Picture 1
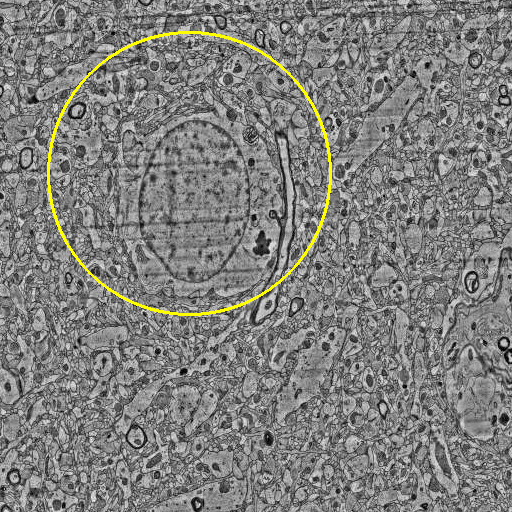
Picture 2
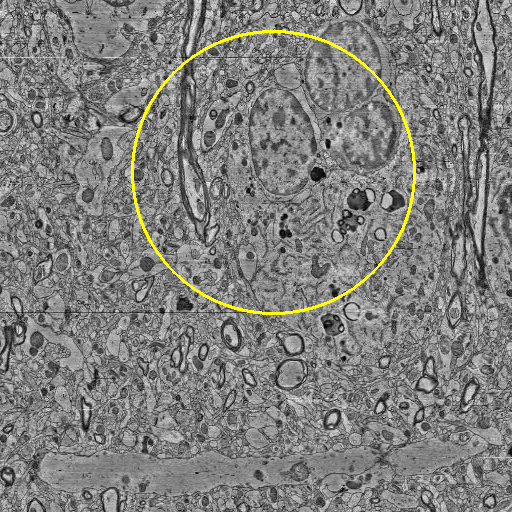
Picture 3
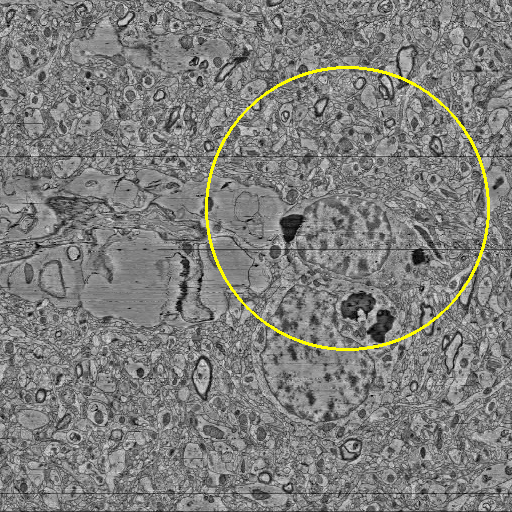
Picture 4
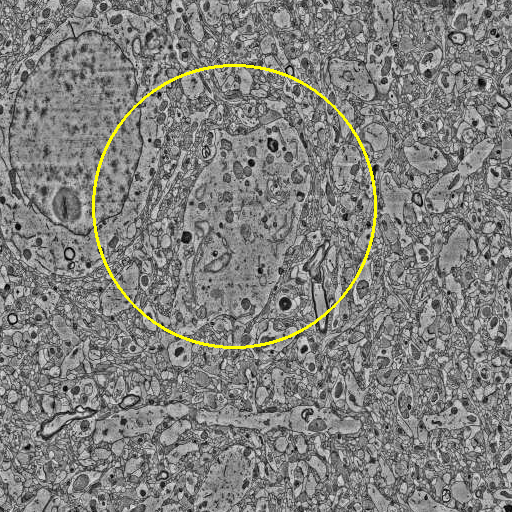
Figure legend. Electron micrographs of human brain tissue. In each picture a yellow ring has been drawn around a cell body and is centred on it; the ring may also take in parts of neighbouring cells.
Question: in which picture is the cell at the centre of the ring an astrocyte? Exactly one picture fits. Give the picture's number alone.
1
